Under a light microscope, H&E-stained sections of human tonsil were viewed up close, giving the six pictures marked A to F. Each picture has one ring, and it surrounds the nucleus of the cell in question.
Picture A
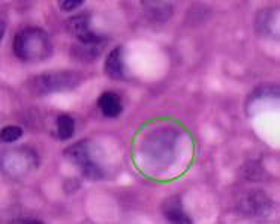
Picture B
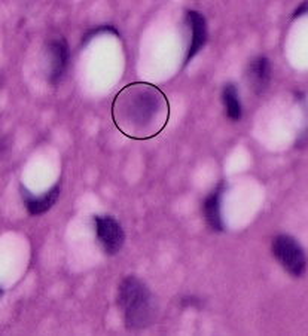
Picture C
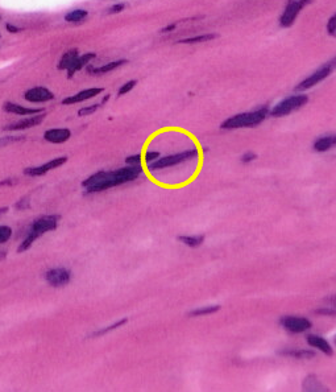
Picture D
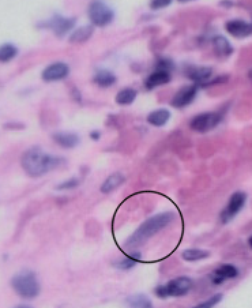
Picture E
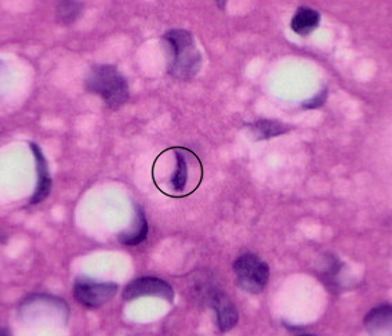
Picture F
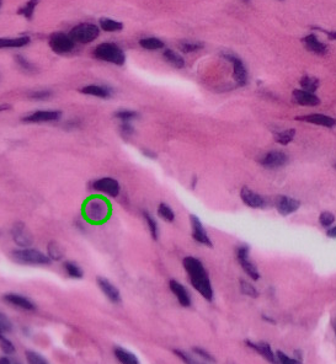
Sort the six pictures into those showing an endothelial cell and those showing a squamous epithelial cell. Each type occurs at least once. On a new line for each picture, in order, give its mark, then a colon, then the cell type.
A: squamous epithelial cell
B: squamous epithelial cell
C: endothelial cell
D: endothelial cell
E: squamous epithelial cell
F: endothelial cell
